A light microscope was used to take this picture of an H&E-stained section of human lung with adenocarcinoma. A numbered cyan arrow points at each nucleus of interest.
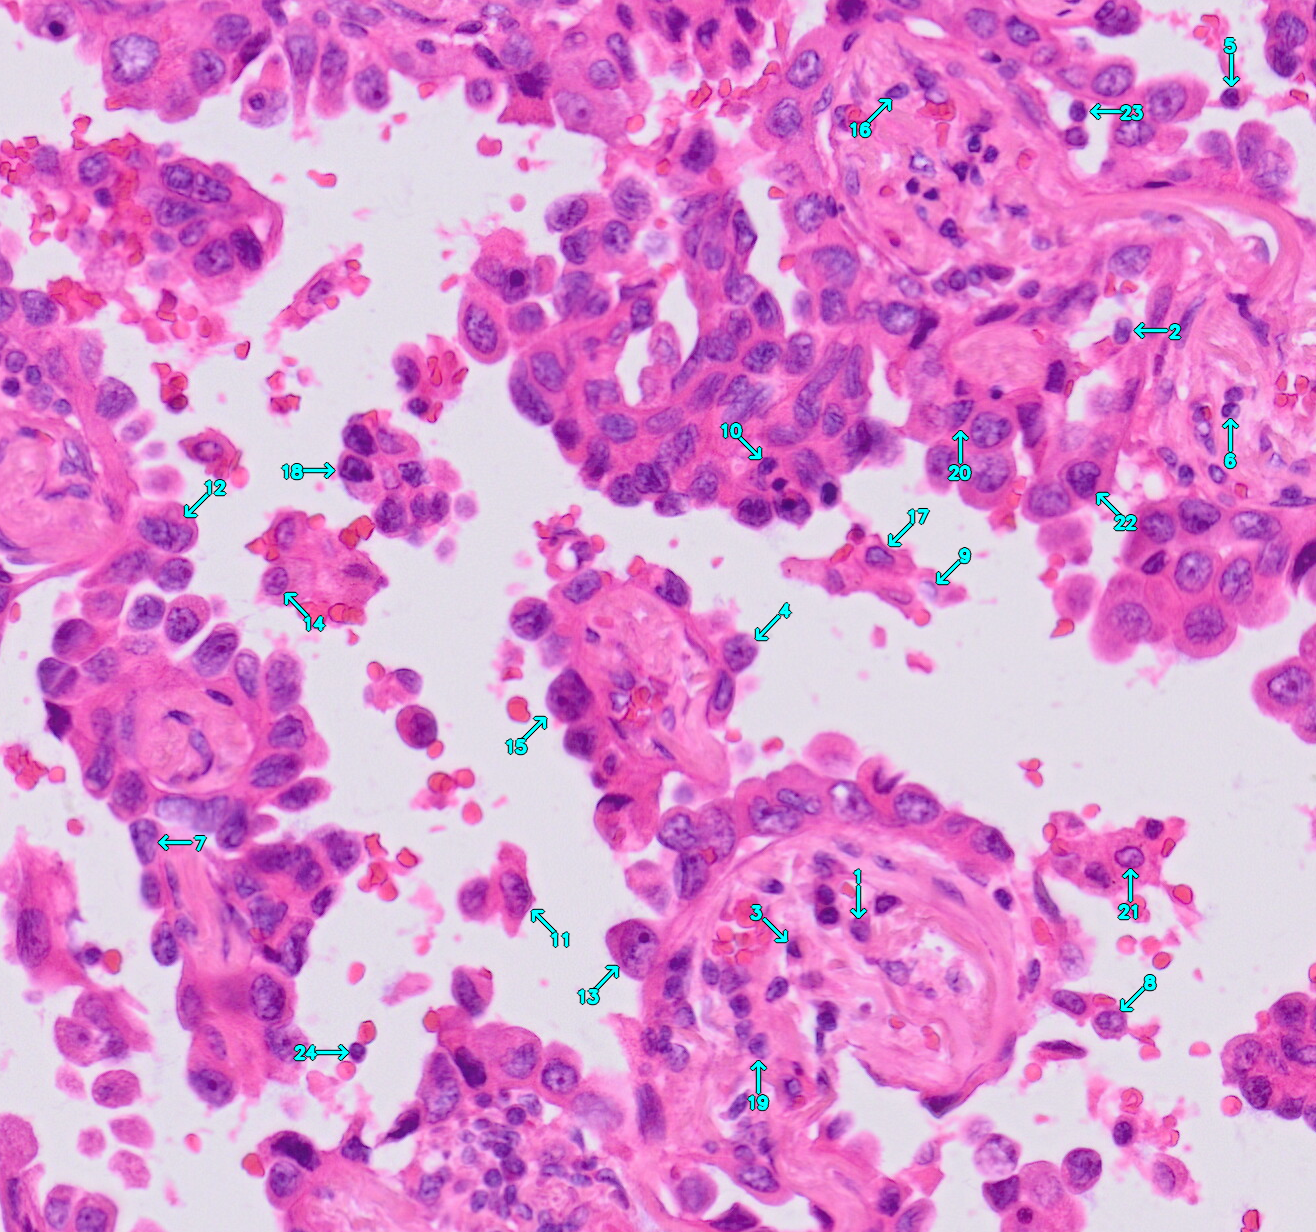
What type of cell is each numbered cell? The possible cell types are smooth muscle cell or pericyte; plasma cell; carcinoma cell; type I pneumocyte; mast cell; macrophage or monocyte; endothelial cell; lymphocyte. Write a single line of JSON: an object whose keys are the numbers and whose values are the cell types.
{"1": "plasma cell", "2": "lymphocyte", "3": "plasma cell", "4": "carcinoma cell", "5": "lymphocyte", "6": "lymphocyte", "7": "carcinoma cell", "8": "macrophage or monocyte", "9": "macrophage or monocyte", "10": "lymphocyte", "11": "carcinoma cell", "12": "carcinoma cell", "13": "carcinoma cell", "14": "macrophage or monocyte", "15": "carcinoma cell", "16": "lymphocyte", "17": "macrophage or monocyte", "18": "carcinoma cell", "19": "lymphocyte", "20": "carcinoma cell", "21": "macrophage or monocyte", "22": "carcinoma cell", "23": "lymphocyte", "24": "lymphocyte"}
